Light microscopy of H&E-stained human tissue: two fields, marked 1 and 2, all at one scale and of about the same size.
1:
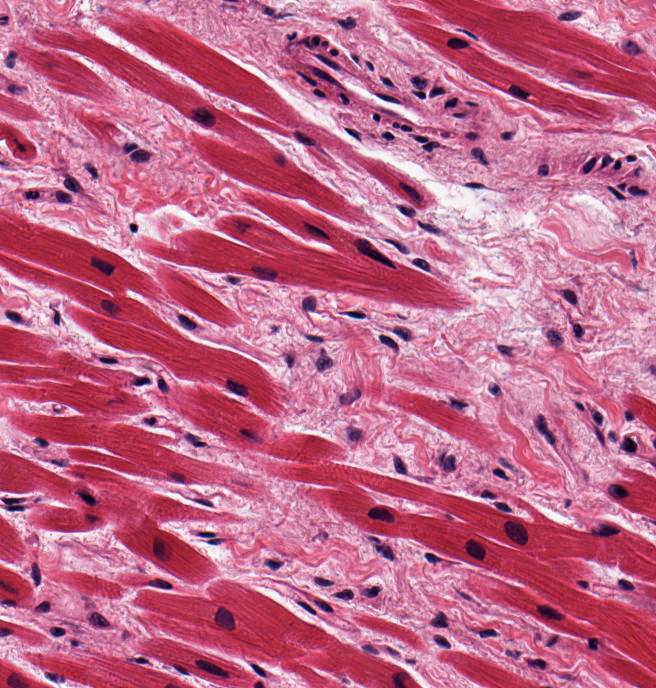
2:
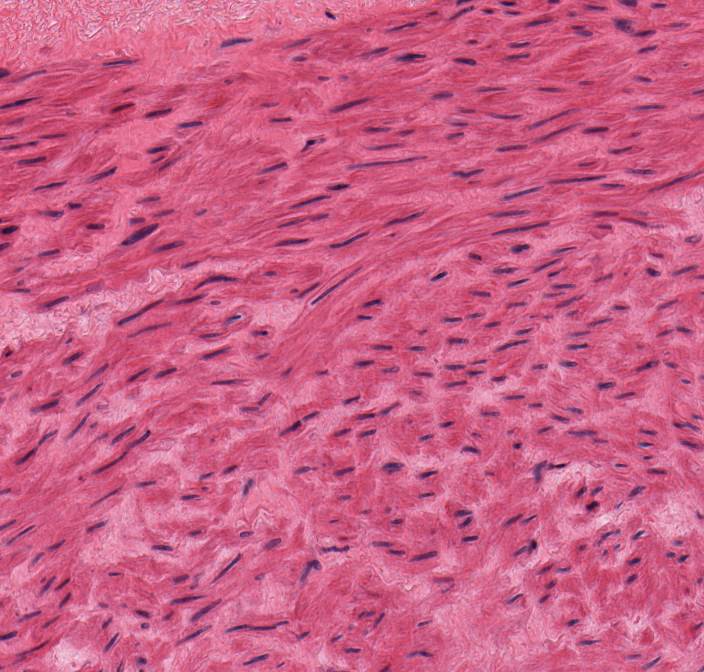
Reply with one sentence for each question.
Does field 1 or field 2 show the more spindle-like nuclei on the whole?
The nuclei are more elongated in field 2.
